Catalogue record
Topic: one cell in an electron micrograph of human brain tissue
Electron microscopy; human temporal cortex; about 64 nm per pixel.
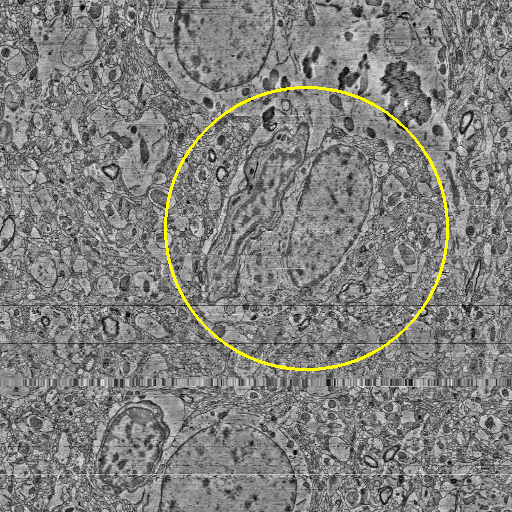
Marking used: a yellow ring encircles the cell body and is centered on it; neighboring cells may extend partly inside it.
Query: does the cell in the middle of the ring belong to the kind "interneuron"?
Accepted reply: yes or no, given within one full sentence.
No, the cell centered in the ring in the picture is of another kind.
